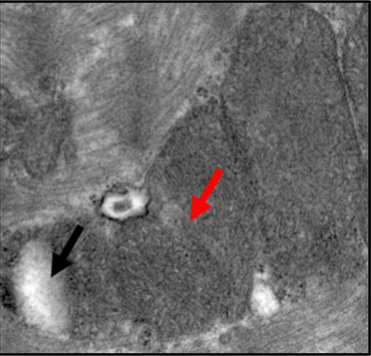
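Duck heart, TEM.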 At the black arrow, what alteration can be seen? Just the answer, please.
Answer: Mitochondrial vacuolization.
